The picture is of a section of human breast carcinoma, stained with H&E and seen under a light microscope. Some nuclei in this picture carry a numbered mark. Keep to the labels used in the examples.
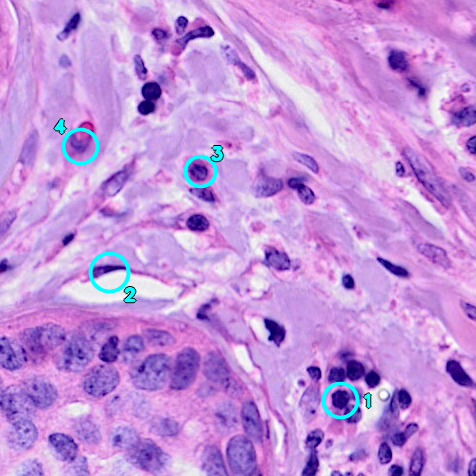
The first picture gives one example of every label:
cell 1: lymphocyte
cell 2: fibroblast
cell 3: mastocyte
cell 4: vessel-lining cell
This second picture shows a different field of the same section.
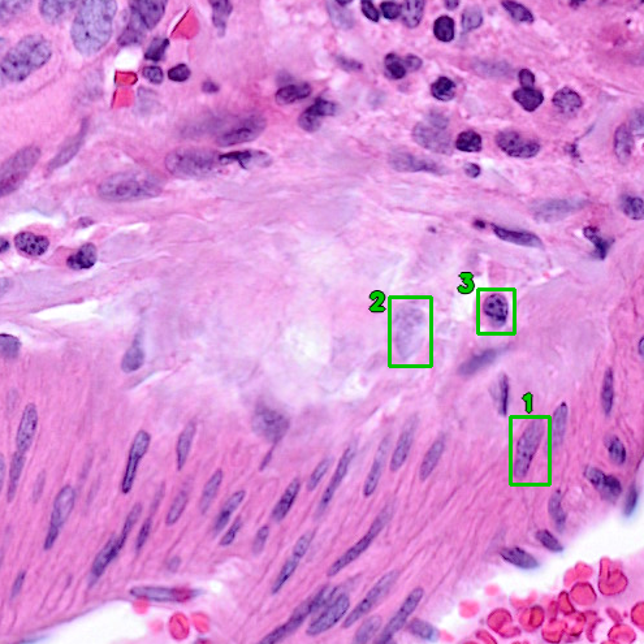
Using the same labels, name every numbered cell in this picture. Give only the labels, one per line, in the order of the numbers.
vessel-lining cell
fibroblast
mastocyte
